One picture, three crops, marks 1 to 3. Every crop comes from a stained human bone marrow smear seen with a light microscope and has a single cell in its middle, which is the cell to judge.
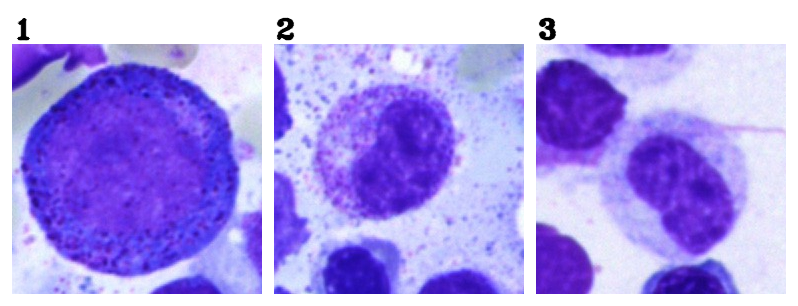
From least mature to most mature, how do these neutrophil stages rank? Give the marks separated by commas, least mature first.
1, 2, 3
